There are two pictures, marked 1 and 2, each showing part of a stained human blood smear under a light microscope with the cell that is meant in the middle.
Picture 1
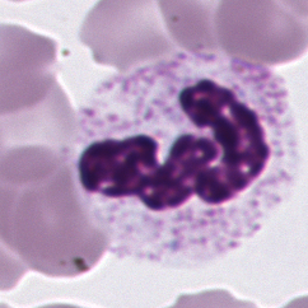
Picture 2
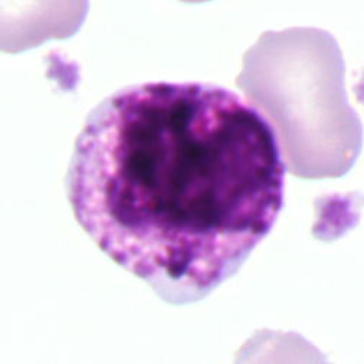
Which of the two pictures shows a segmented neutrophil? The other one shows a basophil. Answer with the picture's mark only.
1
